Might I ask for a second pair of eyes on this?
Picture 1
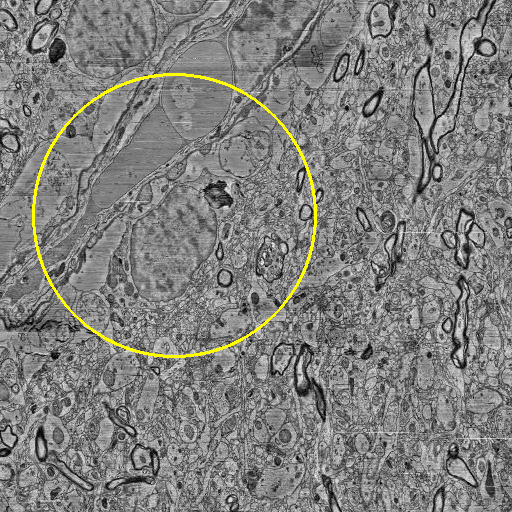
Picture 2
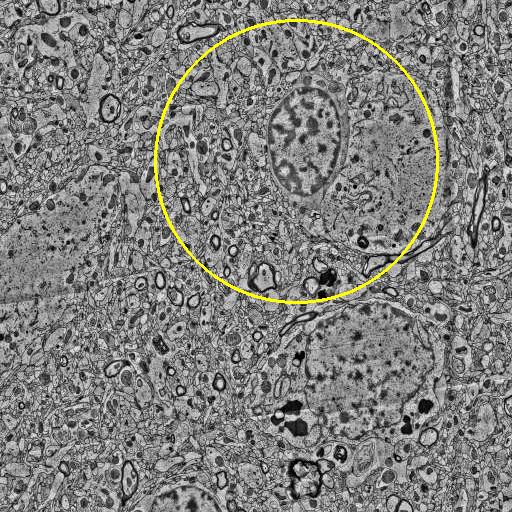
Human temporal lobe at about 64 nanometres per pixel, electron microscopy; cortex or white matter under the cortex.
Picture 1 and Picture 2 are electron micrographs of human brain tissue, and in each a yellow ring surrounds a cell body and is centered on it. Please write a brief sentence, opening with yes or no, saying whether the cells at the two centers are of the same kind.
Yes, the cells are of the same kind.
